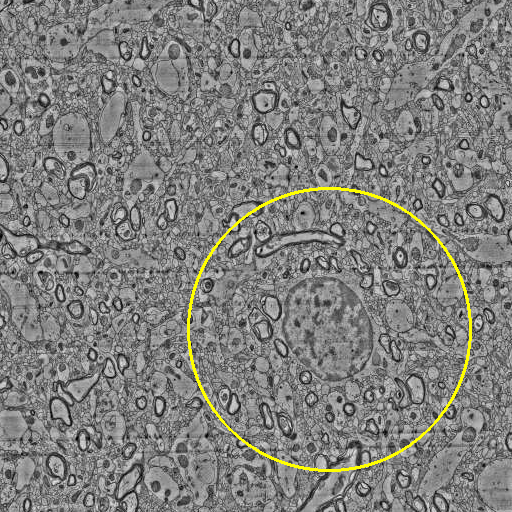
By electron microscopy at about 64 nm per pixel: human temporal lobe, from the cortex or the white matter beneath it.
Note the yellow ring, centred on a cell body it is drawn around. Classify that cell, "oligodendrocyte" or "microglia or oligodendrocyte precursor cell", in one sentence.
The cell the ring is centred on is an oligodendrocyte.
